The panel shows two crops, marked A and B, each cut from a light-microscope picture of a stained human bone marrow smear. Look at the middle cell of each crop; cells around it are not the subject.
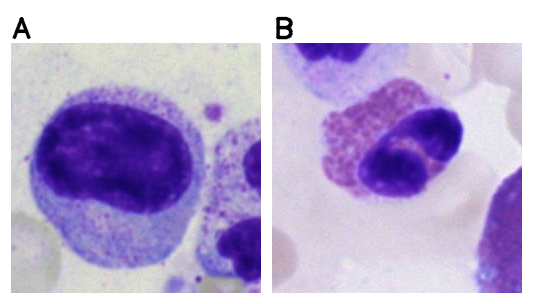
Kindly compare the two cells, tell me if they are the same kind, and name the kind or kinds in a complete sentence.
No, the assignment should read crop A, a metamyelocyte; crop B, an eosinophil.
